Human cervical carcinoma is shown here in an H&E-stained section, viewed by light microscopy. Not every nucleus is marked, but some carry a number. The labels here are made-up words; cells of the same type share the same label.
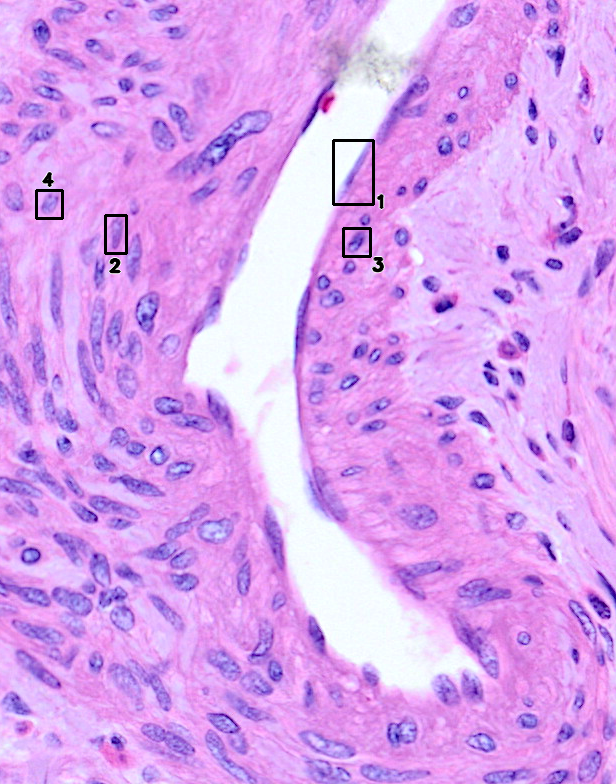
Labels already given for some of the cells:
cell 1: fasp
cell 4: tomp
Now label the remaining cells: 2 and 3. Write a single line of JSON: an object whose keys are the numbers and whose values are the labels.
{"2": "tomp", "3": "tomp"}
